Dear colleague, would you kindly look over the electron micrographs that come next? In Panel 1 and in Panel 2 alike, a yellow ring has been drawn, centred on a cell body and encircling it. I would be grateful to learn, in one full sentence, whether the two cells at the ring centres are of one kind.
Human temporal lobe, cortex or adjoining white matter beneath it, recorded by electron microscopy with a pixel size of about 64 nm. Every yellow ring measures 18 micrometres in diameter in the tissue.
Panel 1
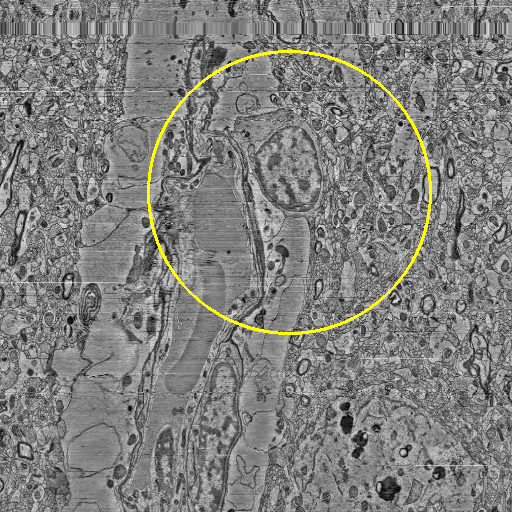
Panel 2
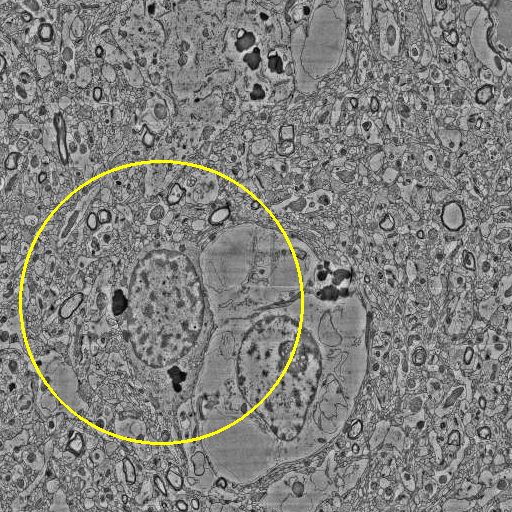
Yes, the cells in the middle of the rings in the two panels are of one kind.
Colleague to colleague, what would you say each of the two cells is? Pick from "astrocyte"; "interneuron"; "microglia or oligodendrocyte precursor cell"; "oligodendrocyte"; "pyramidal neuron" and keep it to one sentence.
Each of the two rings is centred on an oligodendrocyte.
